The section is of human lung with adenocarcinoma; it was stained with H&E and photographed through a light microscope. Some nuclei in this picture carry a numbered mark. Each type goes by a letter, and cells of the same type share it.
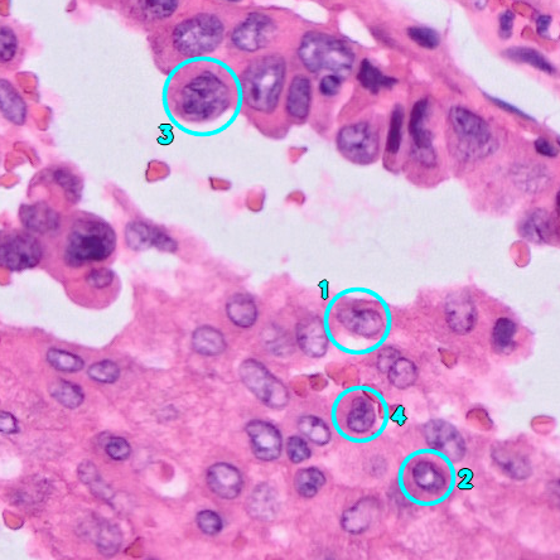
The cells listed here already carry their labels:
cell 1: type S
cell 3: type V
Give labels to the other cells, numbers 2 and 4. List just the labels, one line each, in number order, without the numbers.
type S
type S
